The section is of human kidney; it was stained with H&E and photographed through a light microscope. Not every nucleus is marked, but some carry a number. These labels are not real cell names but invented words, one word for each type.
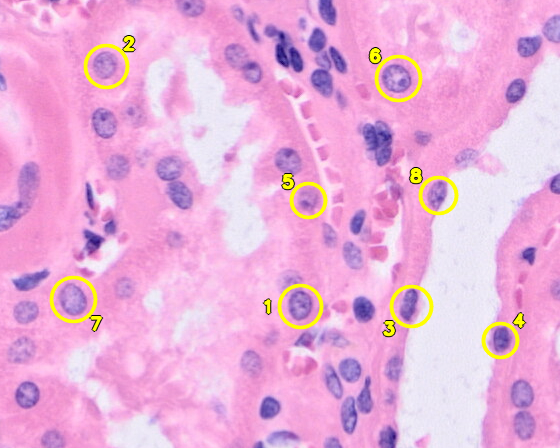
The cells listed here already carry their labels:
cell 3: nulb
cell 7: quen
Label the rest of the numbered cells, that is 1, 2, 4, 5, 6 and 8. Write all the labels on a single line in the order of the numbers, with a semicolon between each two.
quen; quen; nulb; quen; quen; nulb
